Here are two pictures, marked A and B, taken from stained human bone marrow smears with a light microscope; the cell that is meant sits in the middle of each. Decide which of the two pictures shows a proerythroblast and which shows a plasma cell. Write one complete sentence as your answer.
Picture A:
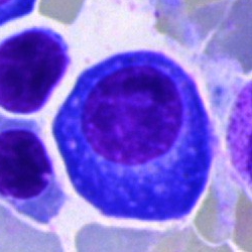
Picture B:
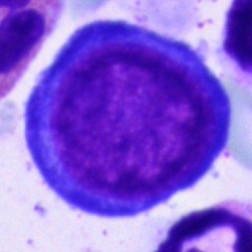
It is picture A that shows a plasma cell, and picture B that shows a proerythroblast.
